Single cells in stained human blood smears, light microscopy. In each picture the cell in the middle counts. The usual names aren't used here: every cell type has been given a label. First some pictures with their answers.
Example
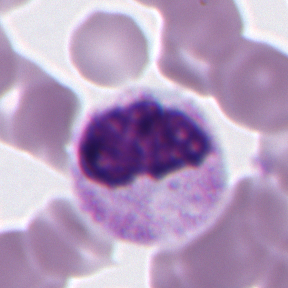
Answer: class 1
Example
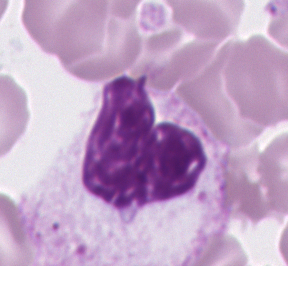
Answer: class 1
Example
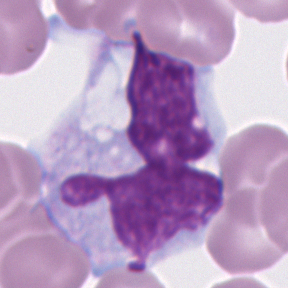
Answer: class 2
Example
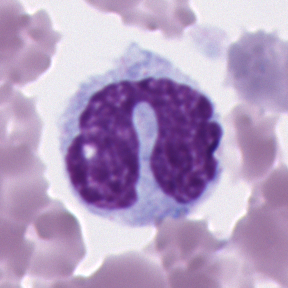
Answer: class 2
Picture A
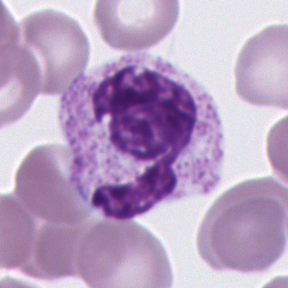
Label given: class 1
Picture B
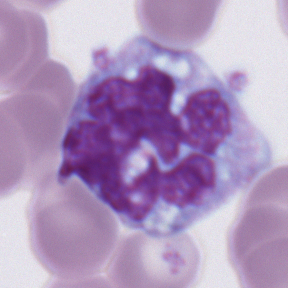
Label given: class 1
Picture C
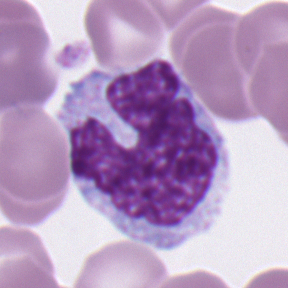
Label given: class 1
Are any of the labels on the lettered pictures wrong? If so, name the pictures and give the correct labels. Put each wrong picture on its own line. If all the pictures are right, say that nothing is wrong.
B: class 2, not class 1
C: class 2, not class 1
